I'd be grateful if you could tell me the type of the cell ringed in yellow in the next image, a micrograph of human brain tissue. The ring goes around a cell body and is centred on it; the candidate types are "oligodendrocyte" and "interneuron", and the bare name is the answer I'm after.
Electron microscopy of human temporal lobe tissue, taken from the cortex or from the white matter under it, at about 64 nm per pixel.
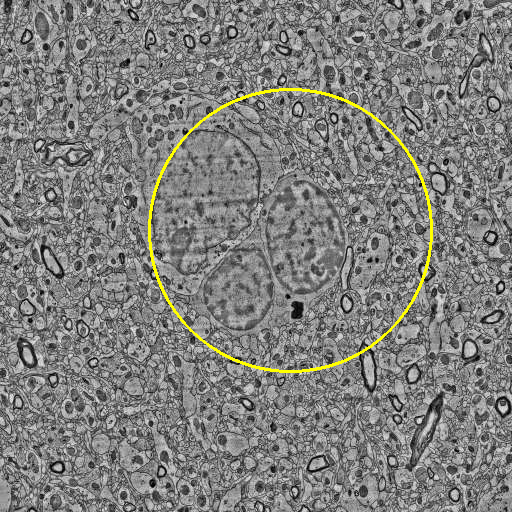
oligodendrocyte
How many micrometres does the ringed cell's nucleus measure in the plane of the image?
In this plane, about 7 micrometres in length and 5 in width.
